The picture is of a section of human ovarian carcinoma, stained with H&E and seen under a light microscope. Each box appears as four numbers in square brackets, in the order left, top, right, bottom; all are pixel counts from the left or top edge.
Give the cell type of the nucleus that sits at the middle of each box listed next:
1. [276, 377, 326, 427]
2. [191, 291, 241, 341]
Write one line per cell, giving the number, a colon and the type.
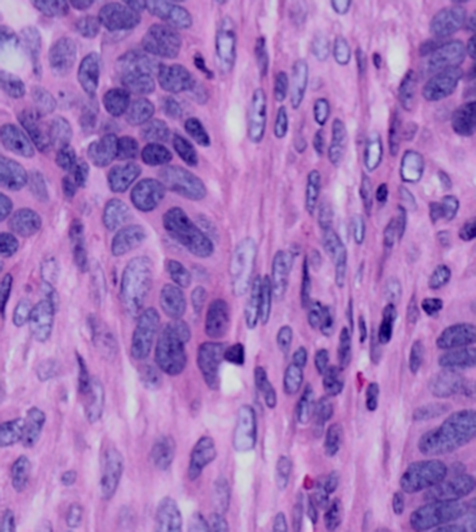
1: endothelial cell
2: carcinoma cell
